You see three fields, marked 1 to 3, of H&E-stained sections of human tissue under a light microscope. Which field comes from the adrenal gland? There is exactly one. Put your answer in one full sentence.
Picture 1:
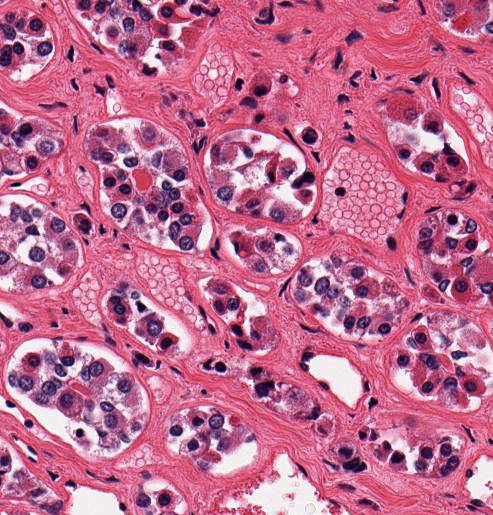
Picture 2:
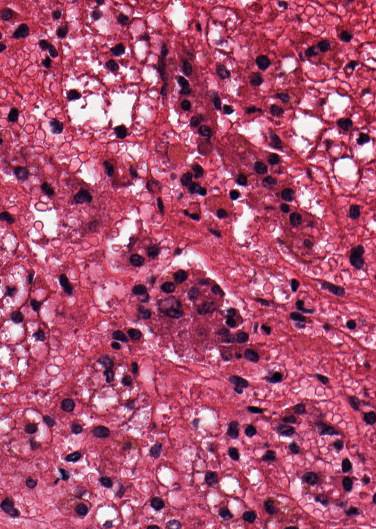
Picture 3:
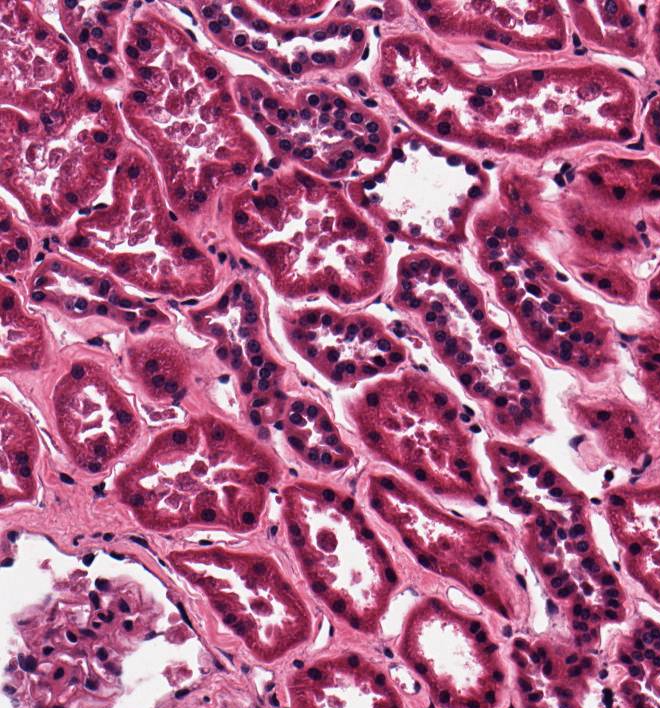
It is picture 2 that comes from the adrenal gland.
